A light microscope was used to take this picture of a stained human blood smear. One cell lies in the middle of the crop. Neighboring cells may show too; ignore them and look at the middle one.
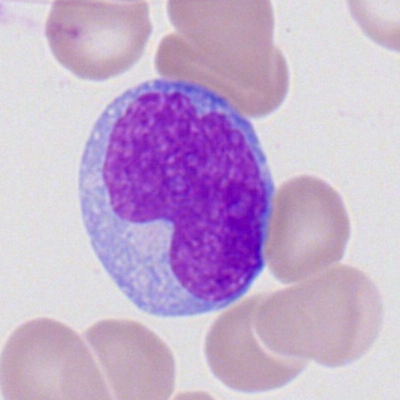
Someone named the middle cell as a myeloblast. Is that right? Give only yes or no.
yes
